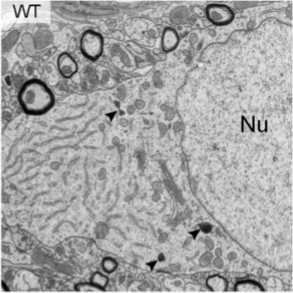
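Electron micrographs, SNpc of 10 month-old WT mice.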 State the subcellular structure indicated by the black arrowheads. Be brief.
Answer: Lipofuscin granules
